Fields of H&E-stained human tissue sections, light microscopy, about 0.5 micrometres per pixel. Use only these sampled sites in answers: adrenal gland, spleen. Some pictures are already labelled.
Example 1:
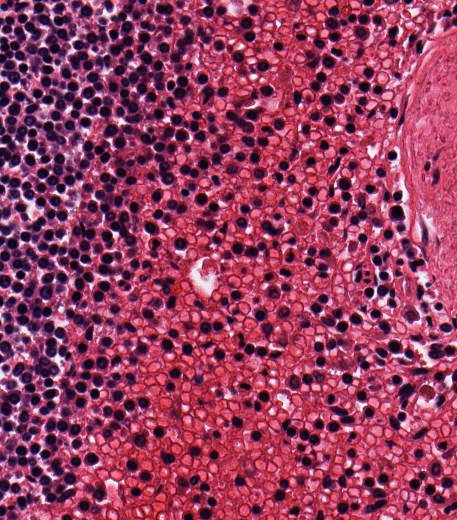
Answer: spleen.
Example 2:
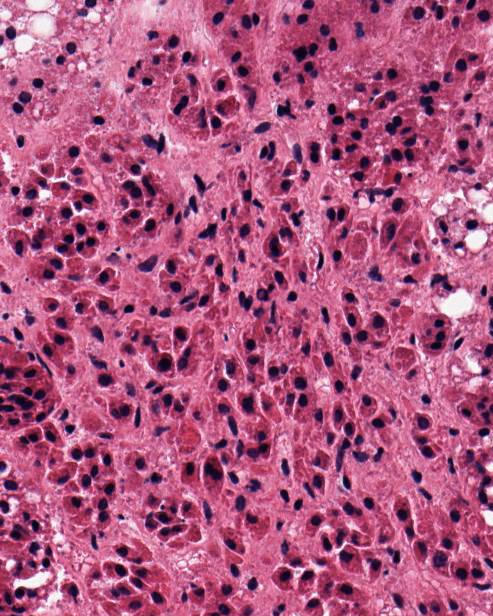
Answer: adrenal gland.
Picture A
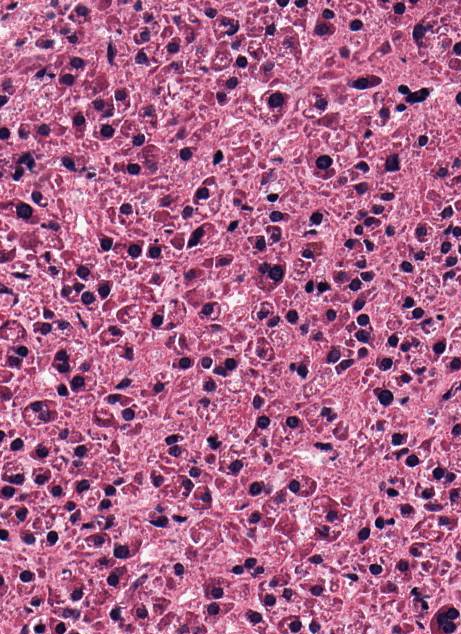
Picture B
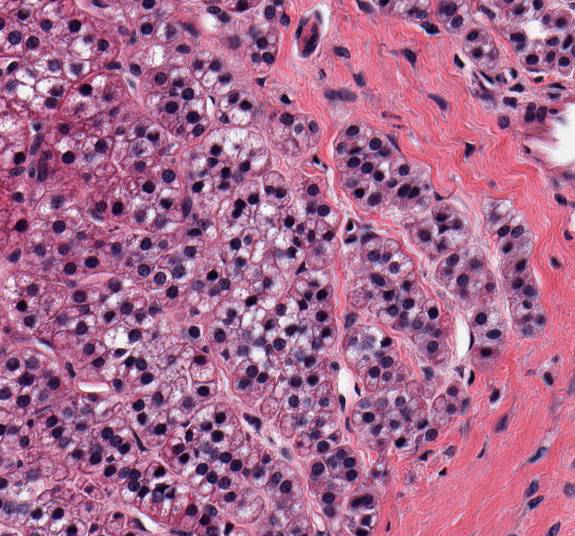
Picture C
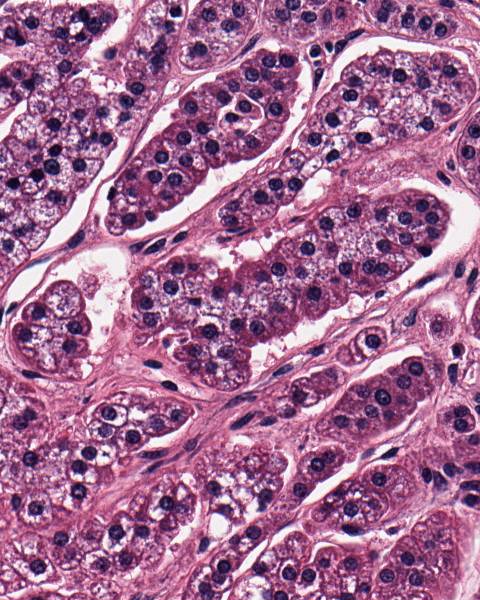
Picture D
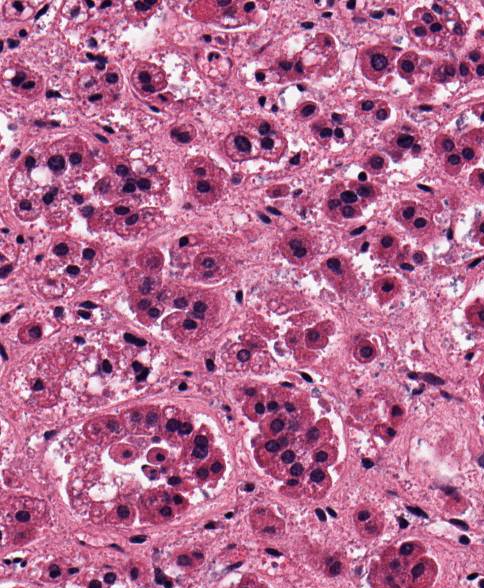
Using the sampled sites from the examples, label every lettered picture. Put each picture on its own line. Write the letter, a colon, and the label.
A: adrenal gland.
B: adrenal gland.
C: adrenal gland.
D: adrenal gland.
